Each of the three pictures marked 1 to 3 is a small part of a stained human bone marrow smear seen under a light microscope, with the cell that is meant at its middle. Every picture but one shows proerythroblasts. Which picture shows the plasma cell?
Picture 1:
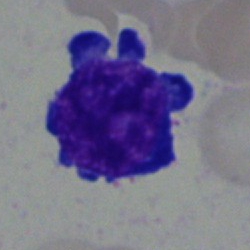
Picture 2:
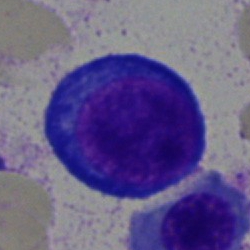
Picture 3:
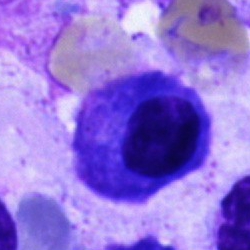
3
